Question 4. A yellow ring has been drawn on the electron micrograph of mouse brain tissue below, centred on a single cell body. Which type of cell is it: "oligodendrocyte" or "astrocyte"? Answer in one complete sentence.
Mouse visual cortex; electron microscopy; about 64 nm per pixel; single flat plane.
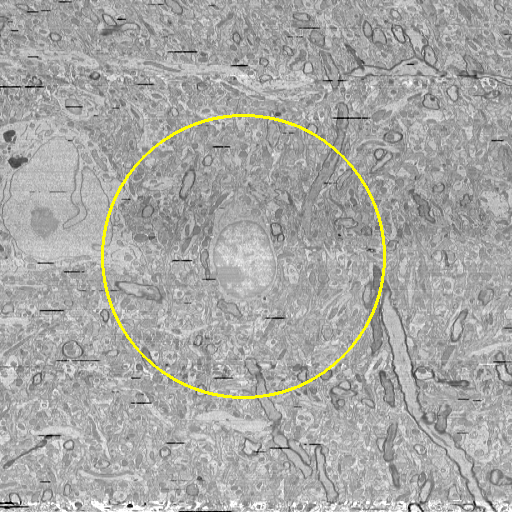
This cell body belongs to an oligodendrocyte.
